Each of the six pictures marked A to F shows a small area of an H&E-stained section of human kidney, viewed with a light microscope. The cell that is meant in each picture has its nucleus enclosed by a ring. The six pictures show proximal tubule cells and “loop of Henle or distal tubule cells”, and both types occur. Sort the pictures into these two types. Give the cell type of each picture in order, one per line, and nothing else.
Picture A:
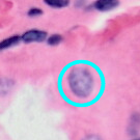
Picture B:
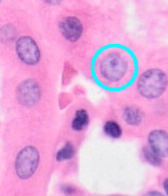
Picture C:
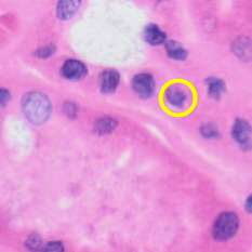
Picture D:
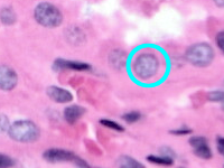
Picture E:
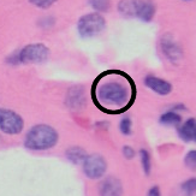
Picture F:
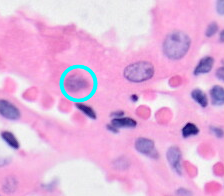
loop of Henle or distal tubule cell
proximal tubule cell
loop of Henle or distal tubule cell
loop of Henle or distal tubule cell
loop of Henle or distal tubule cell
proximal tubule cell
